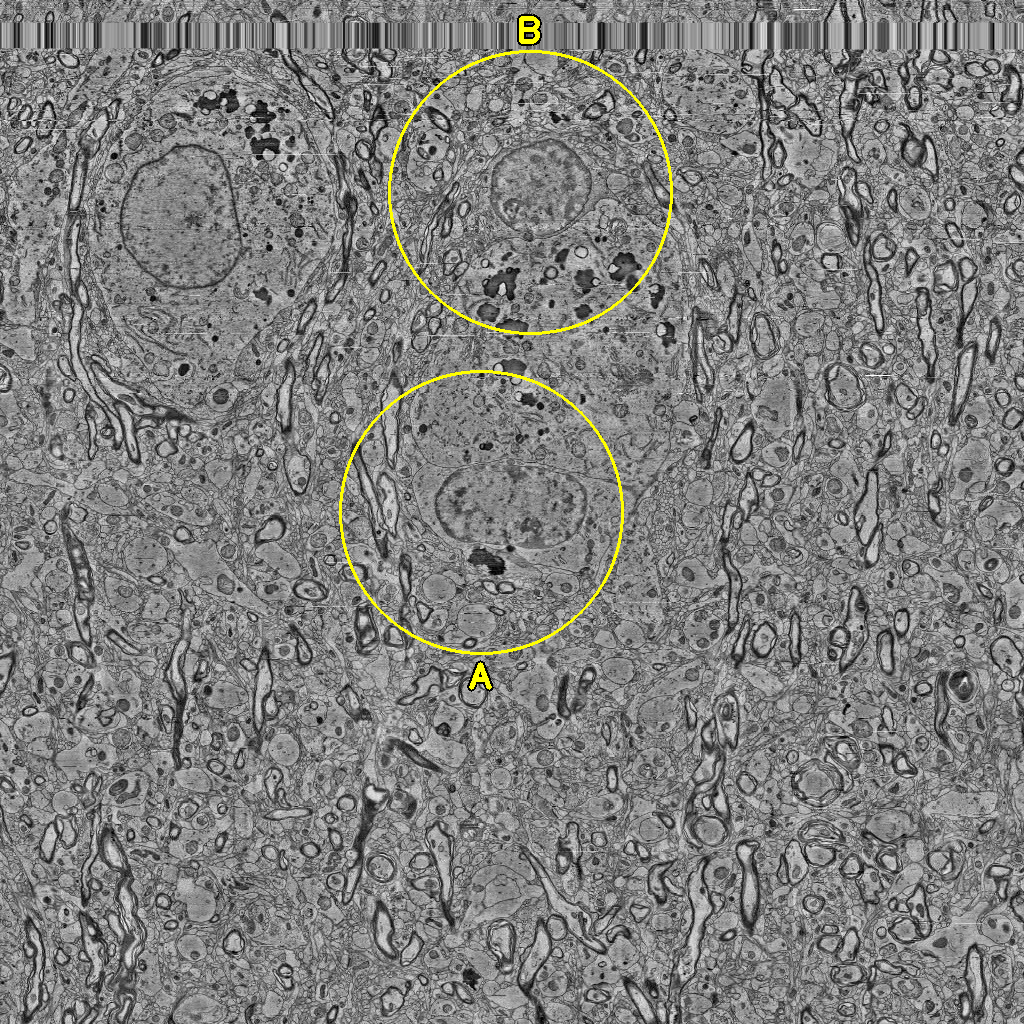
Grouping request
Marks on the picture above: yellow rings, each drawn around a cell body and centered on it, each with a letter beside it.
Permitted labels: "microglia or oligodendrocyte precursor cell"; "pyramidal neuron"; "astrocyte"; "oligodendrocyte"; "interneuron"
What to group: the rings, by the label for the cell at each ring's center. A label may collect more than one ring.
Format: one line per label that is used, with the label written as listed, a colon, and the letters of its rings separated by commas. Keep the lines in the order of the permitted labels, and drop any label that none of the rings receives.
microglia or oligodendrocyte precursor cell: A
oligodendrocyte: B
